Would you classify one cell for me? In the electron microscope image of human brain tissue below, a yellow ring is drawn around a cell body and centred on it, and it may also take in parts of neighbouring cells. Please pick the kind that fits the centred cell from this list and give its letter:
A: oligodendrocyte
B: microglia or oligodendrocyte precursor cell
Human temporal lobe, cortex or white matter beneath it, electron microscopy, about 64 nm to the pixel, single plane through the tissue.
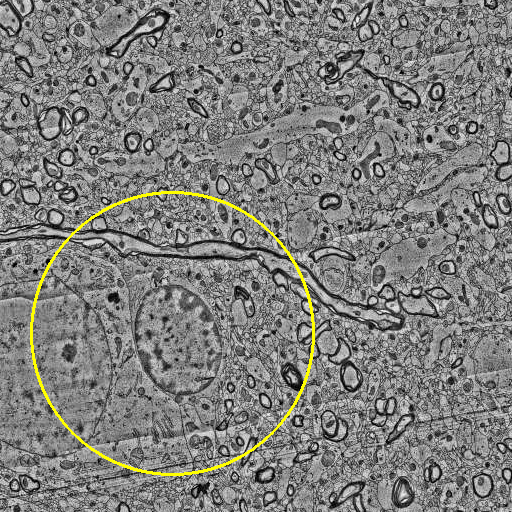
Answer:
A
